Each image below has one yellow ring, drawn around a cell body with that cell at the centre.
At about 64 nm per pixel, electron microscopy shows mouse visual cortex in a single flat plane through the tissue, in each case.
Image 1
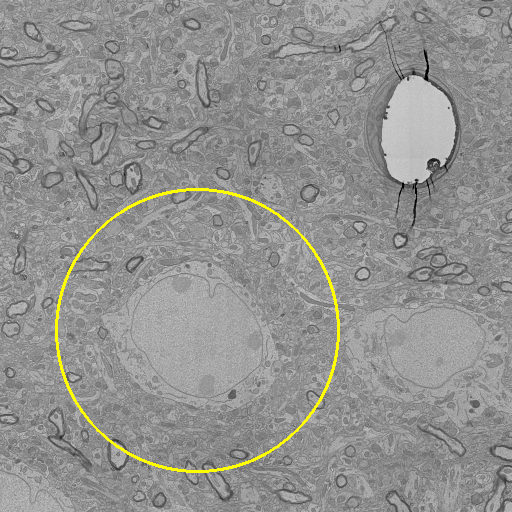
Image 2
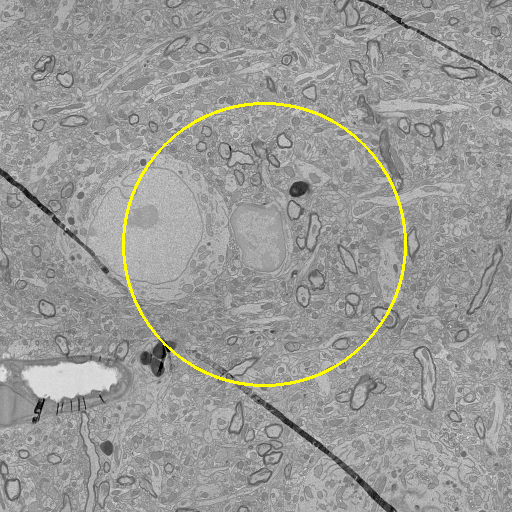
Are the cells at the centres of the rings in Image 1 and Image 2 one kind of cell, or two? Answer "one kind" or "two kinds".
two kinds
